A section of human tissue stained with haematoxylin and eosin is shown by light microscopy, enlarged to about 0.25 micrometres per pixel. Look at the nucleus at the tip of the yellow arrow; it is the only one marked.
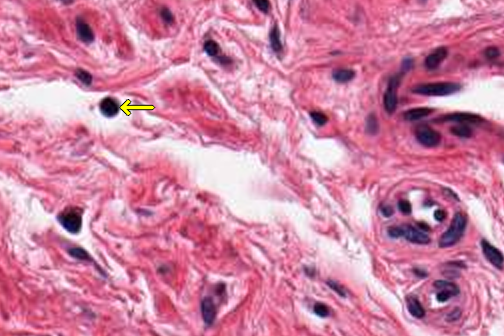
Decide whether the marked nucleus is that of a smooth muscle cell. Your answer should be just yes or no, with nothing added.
no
